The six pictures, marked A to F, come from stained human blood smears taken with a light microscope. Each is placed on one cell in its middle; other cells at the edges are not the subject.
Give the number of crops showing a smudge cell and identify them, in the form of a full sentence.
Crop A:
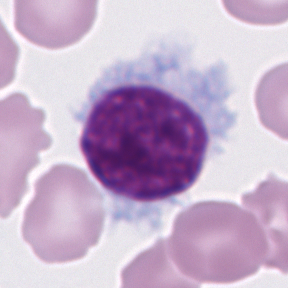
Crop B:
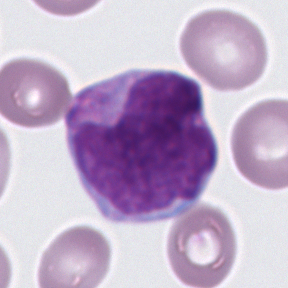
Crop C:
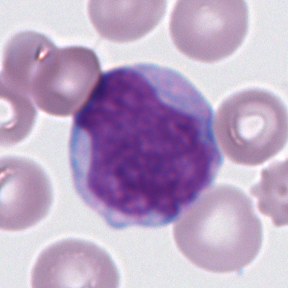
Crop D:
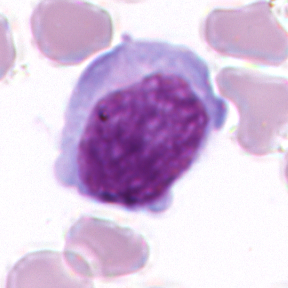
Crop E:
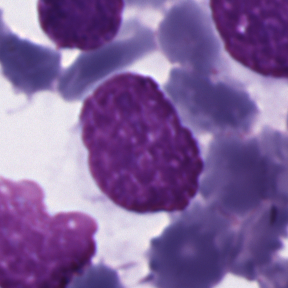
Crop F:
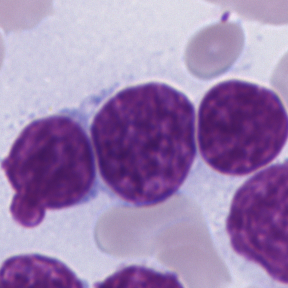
In total, one crop shows a smudge cell, and it is crop E.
